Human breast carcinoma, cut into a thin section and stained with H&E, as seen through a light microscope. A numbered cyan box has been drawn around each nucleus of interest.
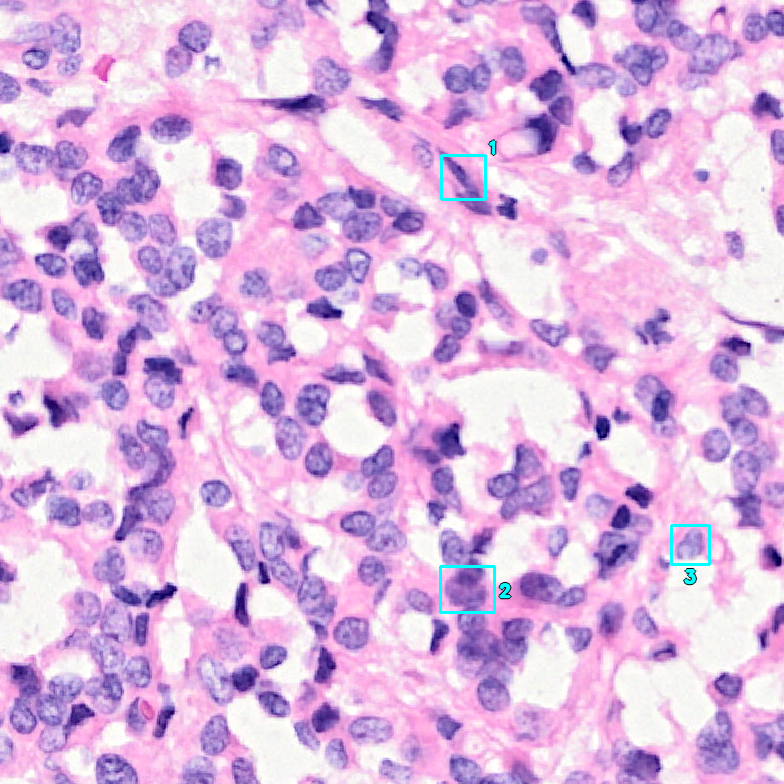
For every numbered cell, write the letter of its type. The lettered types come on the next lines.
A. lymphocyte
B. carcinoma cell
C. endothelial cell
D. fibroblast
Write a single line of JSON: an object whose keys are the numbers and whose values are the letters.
{"1": "C", "2": "B", "3": "B"}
